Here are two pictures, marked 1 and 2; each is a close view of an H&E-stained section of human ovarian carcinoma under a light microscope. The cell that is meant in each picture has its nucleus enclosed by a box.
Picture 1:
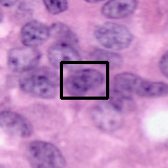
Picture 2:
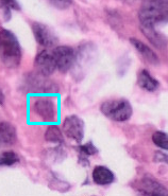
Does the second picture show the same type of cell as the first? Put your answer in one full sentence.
Yes, they are the same type: both are carcinoma cells.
